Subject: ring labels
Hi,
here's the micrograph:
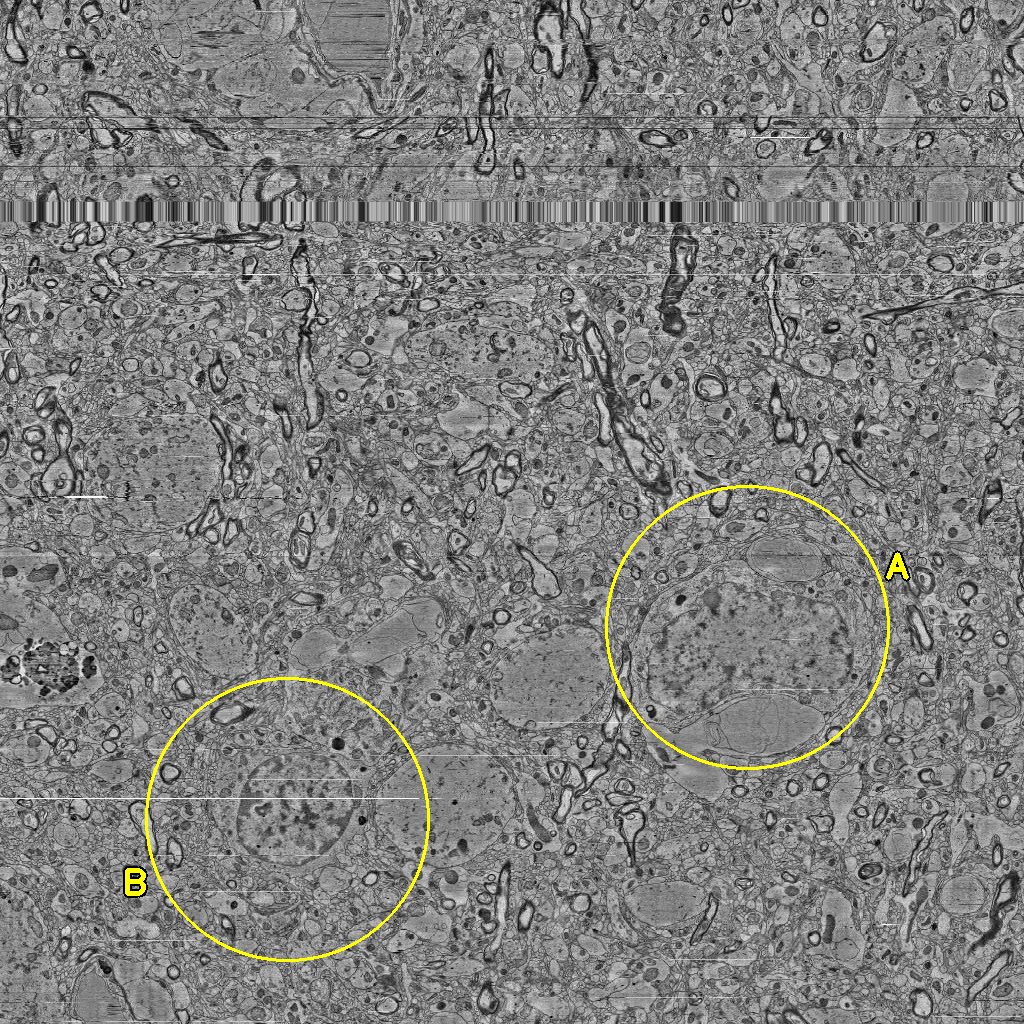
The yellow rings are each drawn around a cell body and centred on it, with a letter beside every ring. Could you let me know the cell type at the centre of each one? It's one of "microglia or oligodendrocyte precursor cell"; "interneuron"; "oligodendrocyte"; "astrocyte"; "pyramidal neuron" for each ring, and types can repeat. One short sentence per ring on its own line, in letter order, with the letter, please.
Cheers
The type at the centre of ring A is an interneuron.
The type at the centre of ring B is an oligodendrocyte.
